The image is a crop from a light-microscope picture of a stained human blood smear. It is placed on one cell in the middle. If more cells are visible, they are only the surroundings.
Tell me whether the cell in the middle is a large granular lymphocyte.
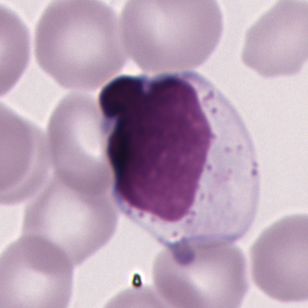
yes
